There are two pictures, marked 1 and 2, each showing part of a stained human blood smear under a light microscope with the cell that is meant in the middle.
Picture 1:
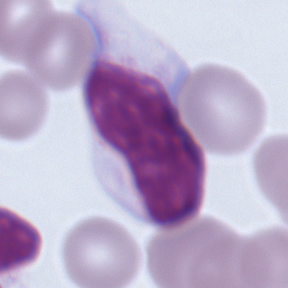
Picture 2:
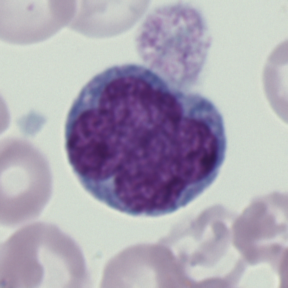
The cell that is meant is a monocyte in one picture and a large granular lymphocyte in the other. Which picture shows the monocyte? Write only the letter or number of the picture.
2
